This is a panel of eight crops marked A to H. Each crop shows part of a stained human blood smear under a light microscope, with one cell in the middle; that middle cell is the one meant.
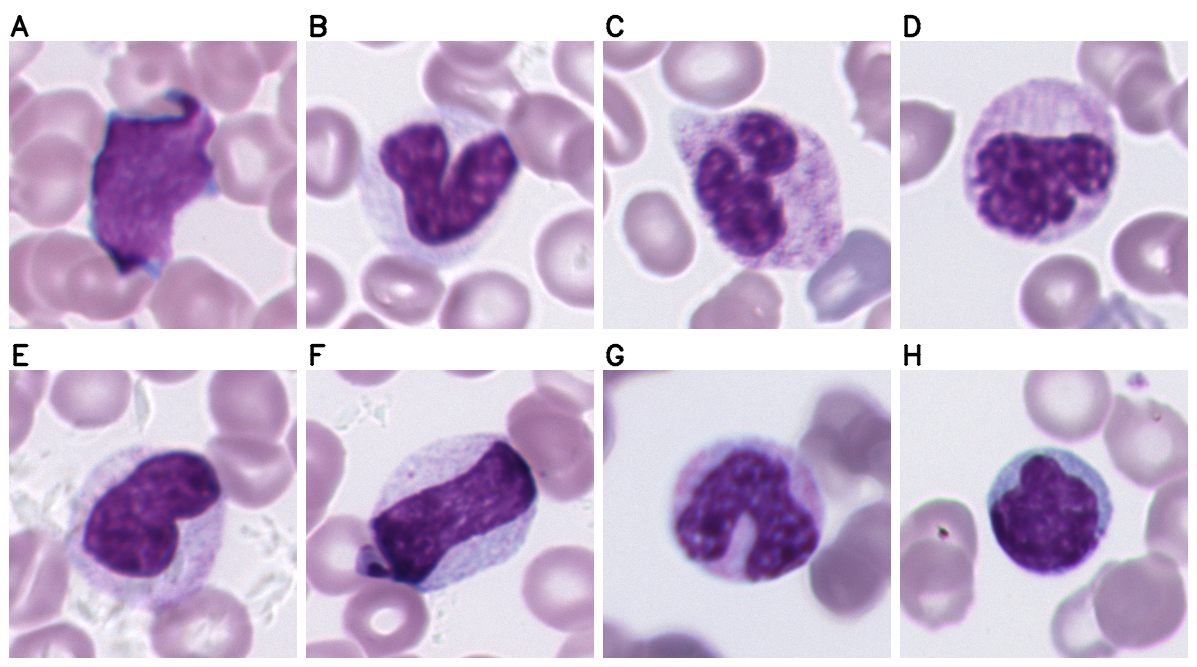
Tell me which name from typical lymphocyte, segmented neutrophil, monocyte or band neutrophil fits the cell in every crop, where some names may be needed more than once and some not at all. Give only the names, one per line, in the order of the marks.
typical lymphocyte
band neutrophil
segmented neutrophil
segmented neutrophil
band neutrophil
band neutrophil
band neutrophil
typical lymphocyte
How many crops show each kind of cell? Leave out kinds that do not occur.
band neutrophil: 4
typical lymphocyte: 2
segmented neutrophil: 2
